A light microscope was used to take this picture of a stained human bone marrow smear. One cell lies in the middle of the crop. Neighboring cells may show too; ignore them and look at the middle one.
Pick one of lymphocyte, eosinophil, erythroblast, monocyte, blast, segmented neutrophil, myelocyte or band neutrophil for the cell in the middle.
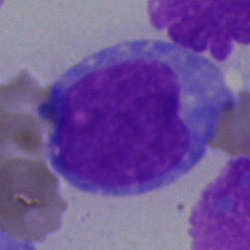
blast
